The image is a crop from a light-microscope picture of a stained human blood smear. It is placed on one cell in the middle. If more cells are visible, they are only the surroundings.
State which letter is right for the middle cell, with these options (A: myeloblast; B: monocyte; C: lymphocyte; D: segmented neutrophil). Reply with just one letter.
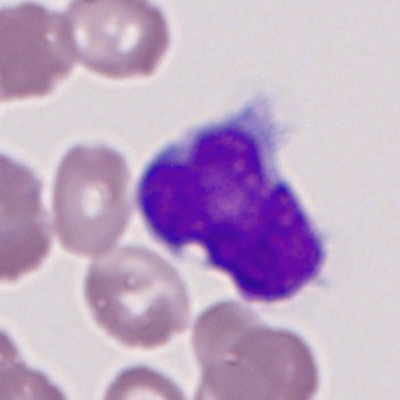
C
